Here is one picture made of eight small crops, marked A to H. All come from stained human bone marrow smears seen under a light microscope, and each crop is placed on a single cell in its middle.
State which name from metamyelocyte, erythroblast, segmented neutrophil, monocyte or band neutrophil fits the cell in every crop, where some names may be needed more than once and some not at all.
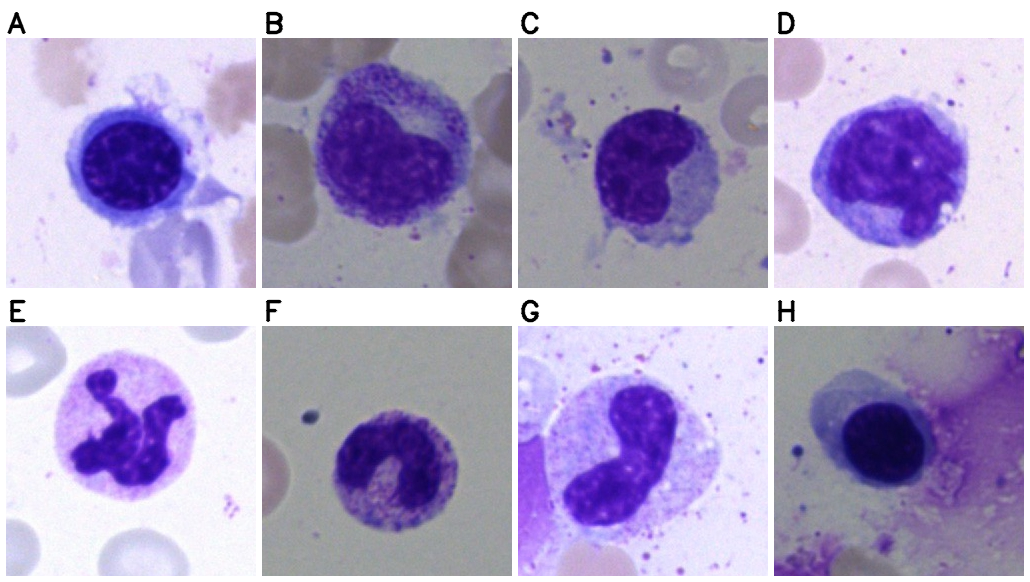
A: erythroblast
B: metamyelocyte
C: metamyelocyte
D: monocyte
E: segmented neutrophil
F: band neutrophil
G: band neutrophil
H: erythroblast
